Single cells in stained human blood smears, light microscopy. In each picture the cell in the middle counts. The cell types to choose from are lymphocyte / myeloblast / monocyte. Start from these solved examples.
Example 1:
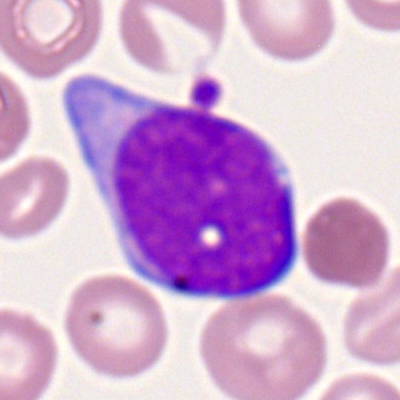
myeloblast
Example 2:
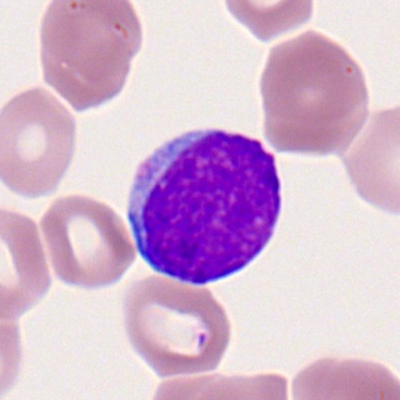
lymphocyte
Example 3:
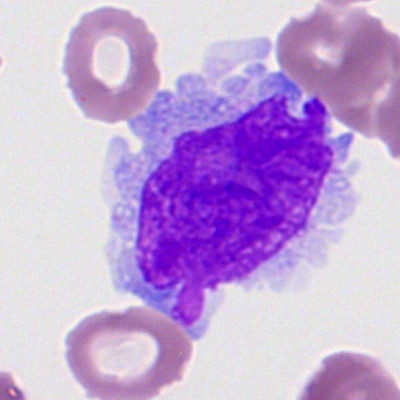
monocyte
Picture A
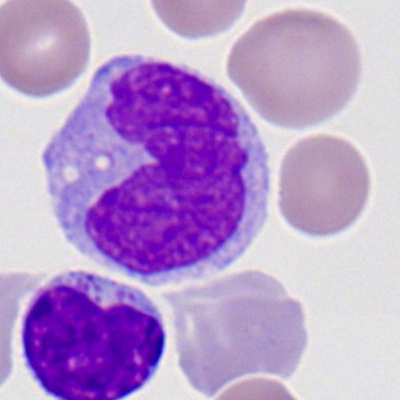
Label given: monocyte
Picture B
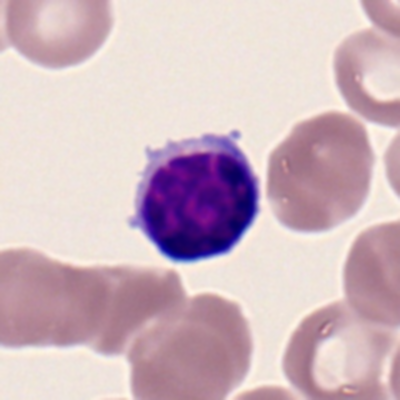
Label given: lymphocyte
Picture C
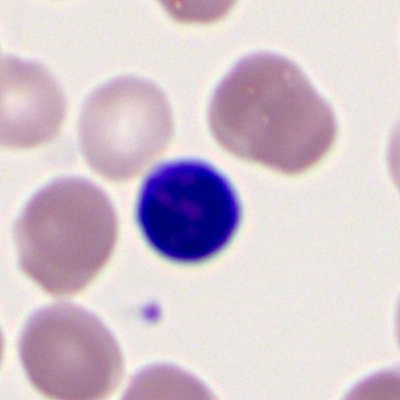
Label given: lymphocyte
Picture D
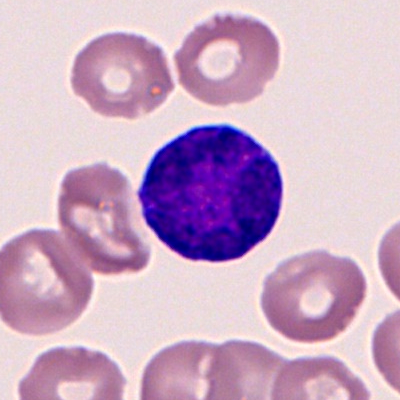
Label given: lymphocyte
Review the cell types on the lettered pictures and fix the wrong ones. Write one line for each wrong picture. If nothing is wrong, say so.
Every label is right.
